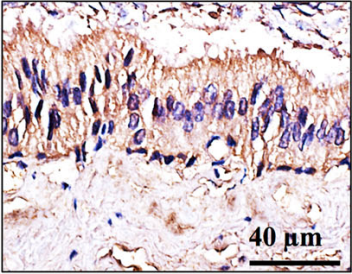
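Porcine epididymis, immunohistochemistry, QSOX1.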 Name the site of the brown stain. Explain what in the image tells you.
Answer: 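Brown stain fills the cytoplasm of the tall epithelial cell layer. Lighter brown patches lie in the connective tissue beneath the epithelium. That points to this answer: epithelium and interstitial area.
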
